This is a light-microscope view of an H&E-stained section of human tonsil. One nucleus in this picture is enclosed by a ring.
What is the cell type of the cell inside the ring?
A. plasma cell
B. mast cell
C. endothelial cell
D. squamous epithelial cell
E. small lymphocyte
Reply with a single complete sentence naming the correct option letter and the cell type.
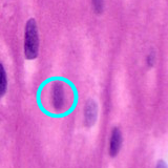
Option D is correct; the cell inside the ring is a squamous epithelial cell.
